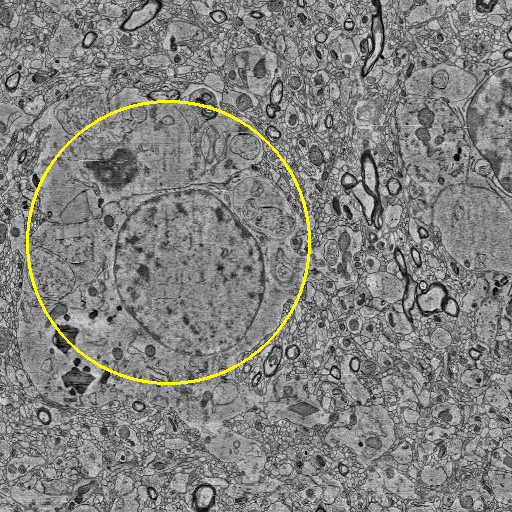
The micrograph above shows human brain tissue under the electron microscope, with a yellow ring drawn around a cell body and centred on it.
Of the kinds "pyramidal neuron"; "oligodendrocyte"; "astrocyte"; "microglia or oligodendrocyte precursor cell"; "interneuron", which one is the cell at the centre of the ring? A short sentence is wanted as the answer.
The one at the centre of the ring is an astrocyte.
